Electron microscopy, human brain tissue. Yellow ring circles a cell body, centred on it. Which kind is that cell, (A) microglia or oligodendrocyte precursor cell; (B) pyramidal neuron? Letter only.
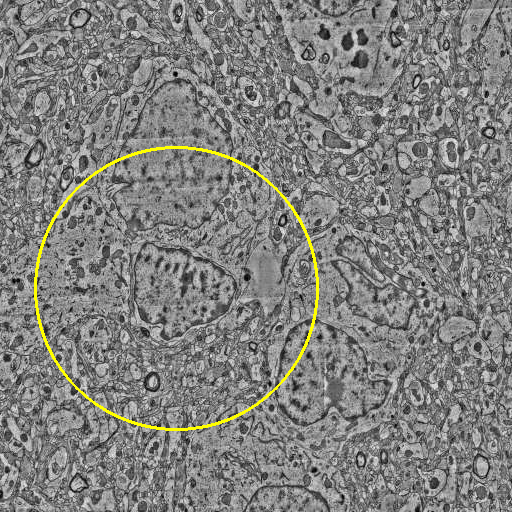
A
